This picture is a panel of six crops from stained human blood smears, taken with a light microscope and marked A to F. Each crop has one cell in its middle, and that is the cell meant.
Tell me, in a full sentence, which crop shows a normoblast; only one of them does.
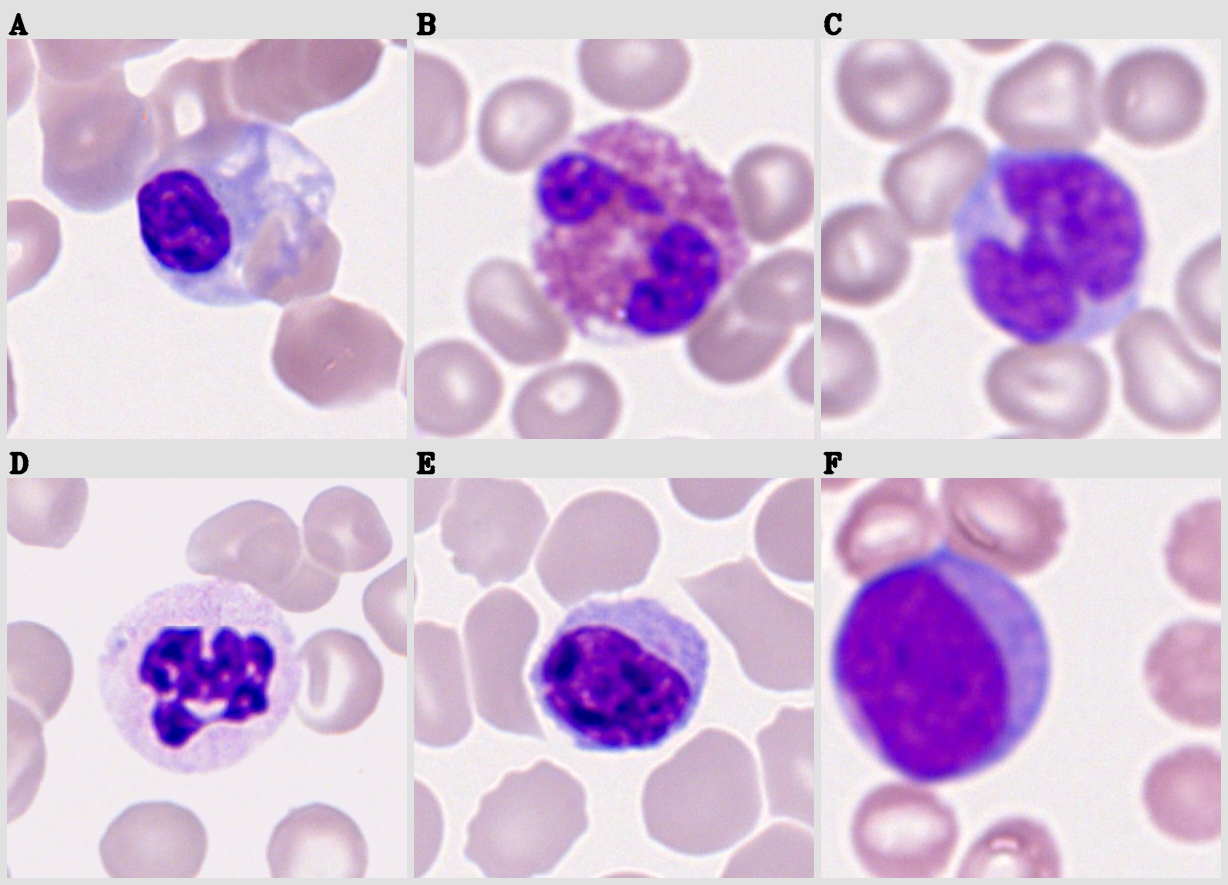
Crop A is where a normoblast is to be found.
